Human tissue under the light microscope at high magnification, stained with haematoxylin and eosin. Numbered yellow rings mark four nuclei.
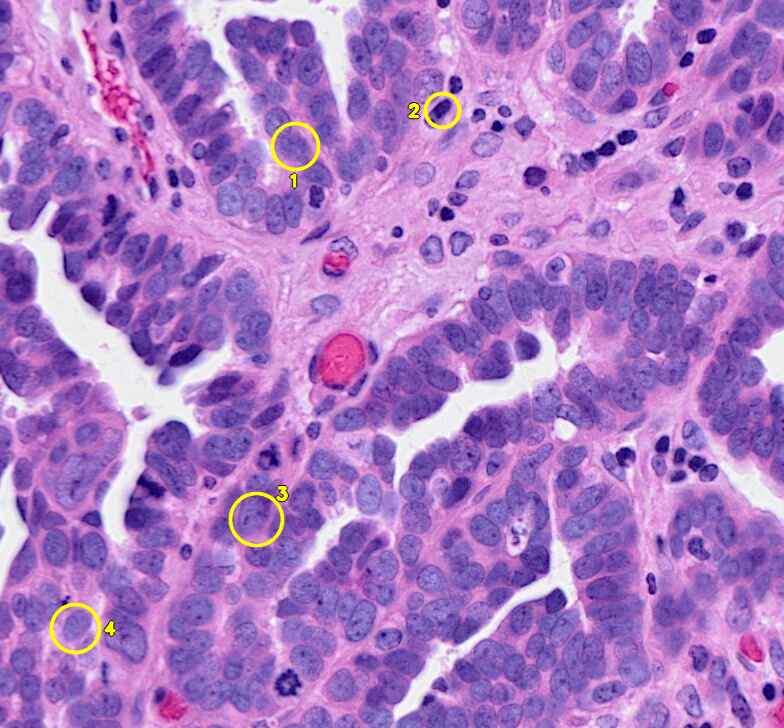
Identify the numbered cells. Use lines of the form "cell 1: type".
cell 1: carcinoma cell
cell 2: lymphocyte
cell 3: carcinoma cell
cell 4: carcinoma cell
